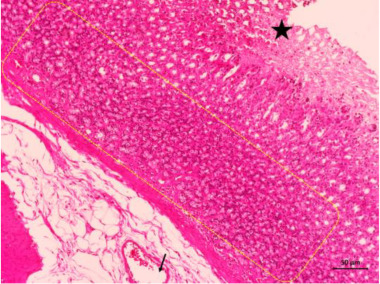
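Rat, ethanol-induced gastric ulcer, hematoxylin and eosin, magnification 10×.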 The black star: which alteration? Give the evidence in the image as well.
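Disruption to the surface epithelium. At the star the luminal surface is ragged and pale. The surface lining cells and the tops of the glands are missing there, unlike the orderly glands further down.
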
